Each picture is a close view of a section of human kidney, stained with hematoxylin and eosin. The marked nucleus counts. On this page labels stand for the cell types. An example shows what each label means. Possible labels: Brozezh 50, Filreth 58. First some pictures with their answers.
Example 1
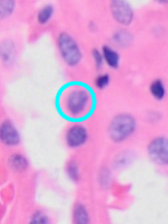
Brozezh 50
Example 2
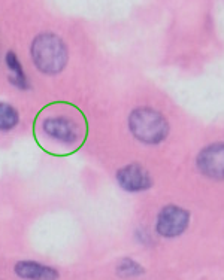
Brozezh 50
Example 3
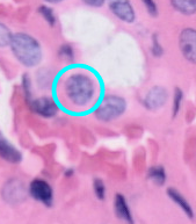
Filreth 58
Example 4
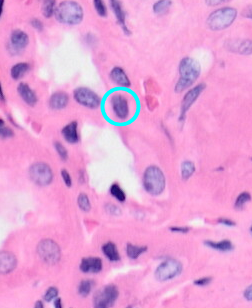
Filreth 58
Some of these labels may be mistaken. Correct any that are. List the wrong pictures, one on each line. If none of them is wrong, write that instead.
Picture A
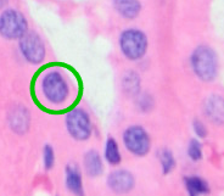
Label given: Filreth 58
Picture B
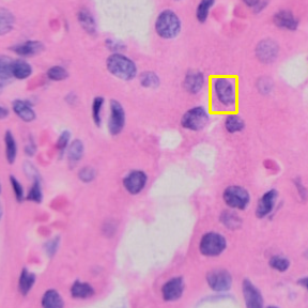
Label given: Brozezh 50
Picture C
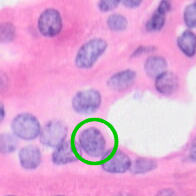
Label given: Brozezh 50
C: change Brozezh 50 to Filreth 58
